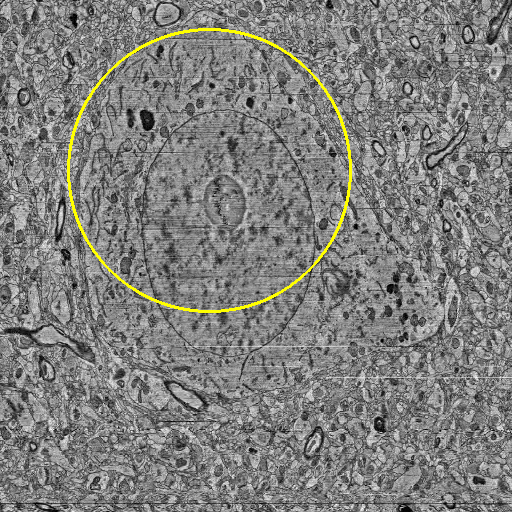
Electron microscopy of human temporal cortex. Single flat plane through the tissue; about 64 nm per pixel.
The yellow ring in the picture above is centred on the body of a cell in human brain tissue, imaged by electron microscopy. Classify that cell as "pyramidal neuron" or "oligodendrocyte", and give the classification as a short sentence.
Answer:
The cell in the middle of the ring is a pyramidal neuron.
